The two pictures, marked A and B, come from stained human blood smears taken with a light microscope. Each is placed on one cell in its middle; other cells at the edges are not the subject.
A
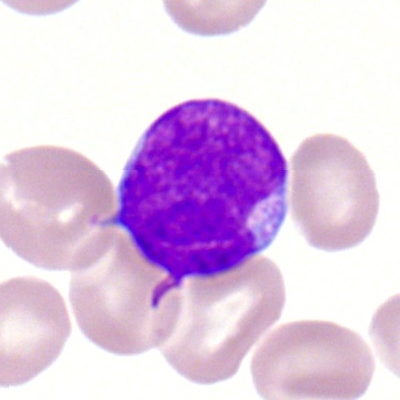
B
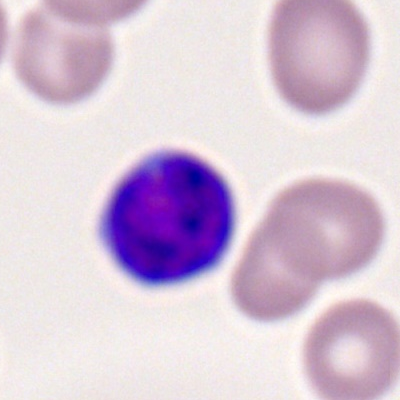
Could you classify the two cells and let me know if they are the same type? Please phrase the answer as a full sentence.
No, a myeloblast is the subject of crop A, and a lymphocyte is the subject of crop B.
